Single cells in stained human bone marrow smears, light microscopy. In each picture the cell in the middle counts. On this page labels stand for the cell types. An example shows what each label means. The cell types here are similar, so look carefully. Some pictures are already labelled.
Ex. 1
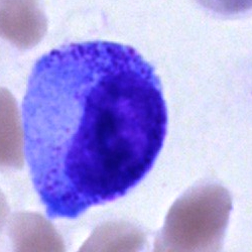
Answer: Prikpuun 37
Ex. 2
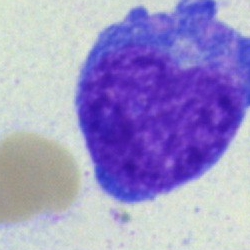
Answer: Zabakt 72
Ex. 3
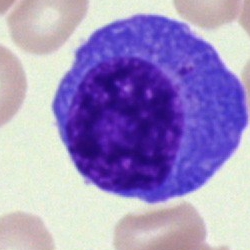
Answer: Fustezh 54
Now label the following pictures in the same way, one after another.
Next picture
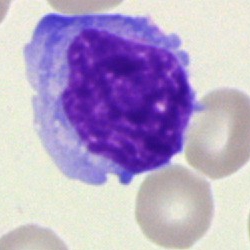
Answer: Zabakt 72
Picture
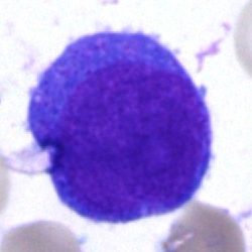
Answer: Zabakt 72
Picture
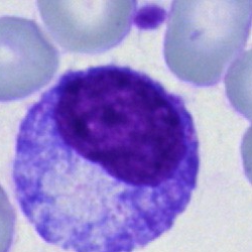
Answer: Prikpuun 37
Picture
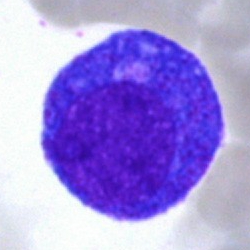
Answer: Prikpuun 37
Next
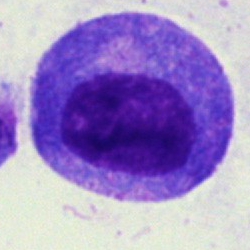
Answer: Prikpuun 37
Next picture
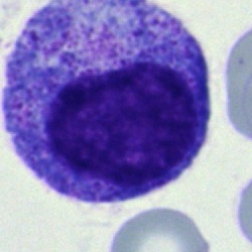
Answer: Prikpuun 37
